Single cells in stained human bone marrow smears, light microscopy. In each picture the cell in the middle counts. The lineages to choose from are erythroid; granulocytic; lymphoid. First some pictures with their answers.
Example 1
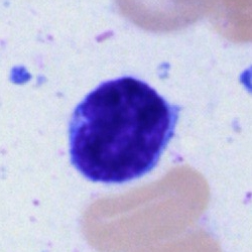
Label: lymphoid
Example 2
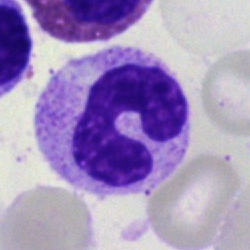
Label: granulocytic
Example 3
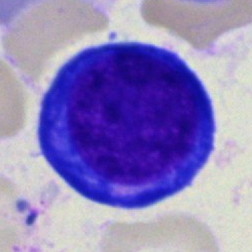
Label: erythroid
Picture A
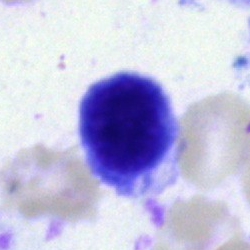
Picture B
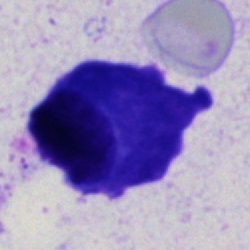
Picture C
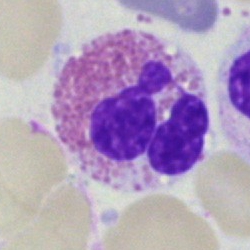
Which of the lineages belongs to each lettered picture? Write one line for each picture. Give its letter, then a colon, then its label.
A: lymphoid
B: lymphoid
C: granulocytic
